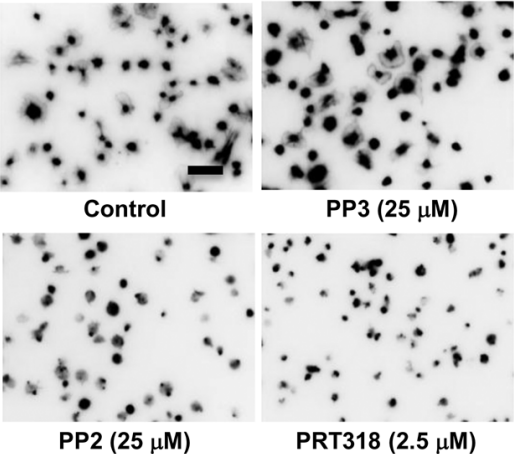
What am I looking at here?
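In some fields many platelets have a dense dark centre surrounded by a paler, flattened rim, giving them a fried-egg outline. In other fields most platelets appear as small compact dark dots with little or no surrounding rim. The cells lie mostly singly, with a few small clusters.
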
